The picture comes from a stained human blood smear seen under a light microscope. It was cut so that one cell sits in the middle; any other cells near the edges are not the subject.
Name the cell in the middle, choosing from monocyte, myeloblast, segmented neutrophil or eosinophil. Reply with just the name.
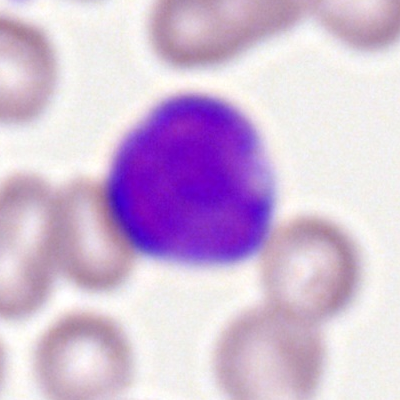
myeloblast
